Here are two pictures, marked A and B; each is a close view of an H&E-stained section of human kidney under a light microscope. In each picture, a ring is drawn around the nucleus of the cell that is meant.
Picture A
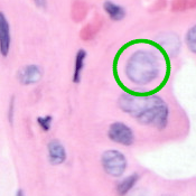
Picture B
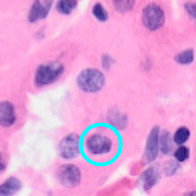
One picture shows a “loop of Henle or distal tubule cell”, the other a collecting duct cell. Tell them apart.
A: collecting duct cell
B: loop of Henle or distal tubule cell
